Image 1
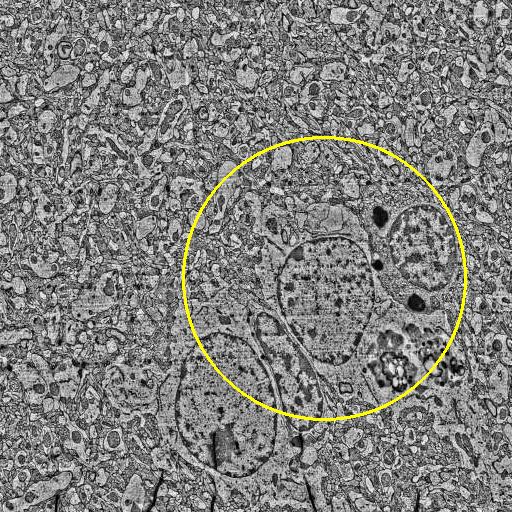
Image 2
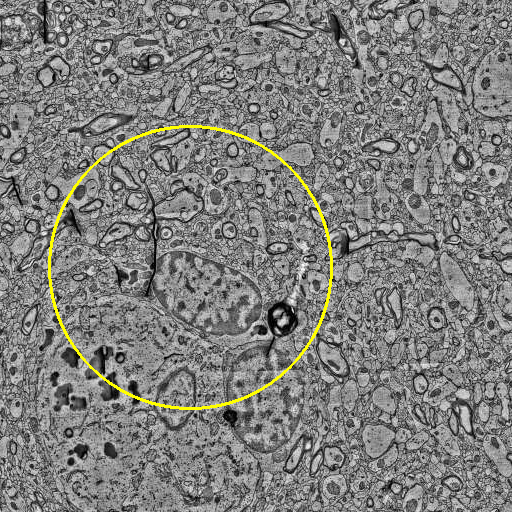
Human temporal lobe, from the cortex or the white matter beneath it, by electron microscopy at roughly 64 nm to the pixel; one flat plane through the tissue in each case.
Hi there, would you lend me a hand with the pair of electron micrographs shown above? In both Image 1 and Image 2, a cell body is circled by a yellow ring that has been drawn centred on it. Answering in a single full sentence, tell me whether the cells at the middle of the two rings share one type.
No, the ringed cells in Image 1 and Image 2 belong to two types.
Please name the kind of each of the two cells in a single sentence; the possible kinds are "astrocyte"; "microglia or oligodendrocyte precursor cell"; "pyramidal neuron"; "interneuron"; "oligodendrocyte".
In the first picture the ring is centred on an astrocyte, and in the second on a microglial cell or oligodendrocyte precursor cell.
